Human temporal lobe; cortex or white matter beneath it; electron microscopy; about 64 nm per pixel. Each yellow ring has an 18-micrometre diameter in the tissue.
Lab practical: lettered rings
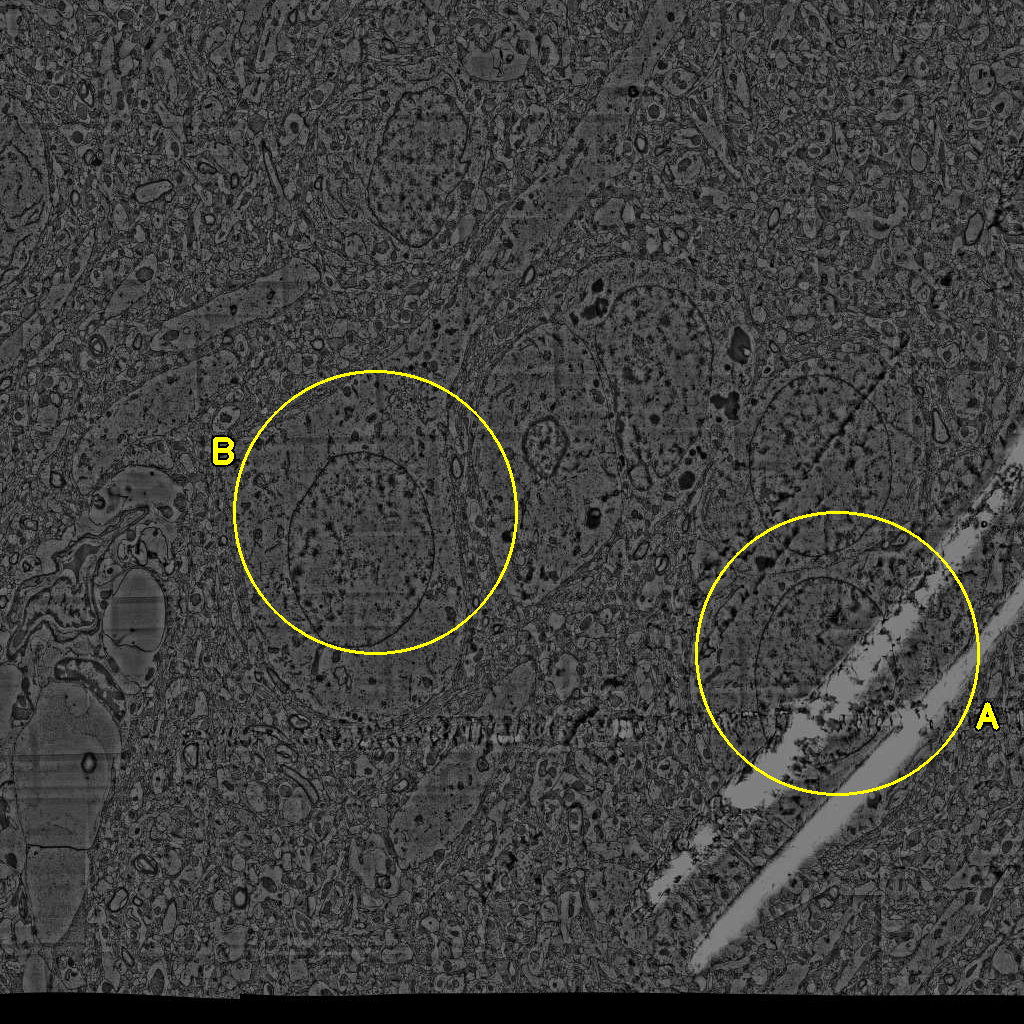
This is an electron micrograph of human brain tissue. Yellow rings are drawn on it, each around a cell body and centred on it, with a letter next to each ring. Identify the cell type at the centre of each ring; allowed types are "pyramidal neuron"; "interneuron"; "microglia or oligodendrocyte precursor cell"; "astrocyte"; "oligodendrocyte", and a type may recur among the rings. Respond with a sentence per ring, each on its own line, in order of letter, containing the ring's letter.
Lying at the centre of ring A is a pyramidal neuron.
Lying at the centre of ring B is a pyramidal neuron.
